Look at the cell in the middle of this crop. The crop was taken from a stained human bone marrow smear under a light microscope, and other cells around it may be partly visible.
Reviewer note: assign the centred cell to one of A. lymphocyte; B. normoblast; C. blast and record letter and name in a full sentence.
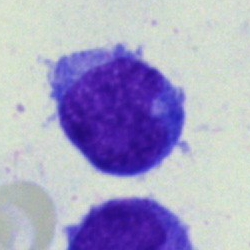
The best answer is option C, since the cell in the middle is a blast.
